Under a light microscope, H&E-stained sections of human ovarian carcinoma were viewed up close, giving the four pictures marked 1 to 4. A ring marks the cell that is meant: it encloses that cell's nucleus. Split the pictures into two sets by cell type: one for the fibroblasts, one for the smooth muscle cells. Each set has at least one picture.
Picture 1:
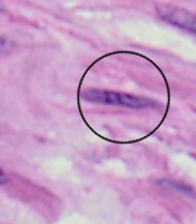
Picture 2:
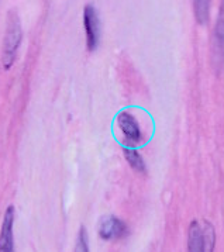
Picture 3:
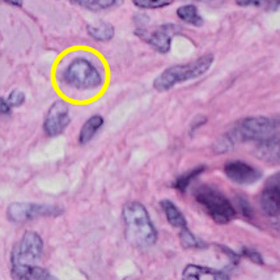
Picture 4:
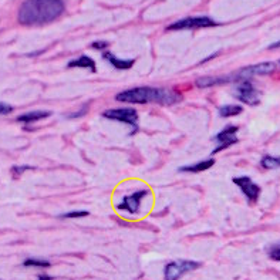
1: fibroblast
2: smooth muscle cell
3: fibroblast
4: fibroblast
